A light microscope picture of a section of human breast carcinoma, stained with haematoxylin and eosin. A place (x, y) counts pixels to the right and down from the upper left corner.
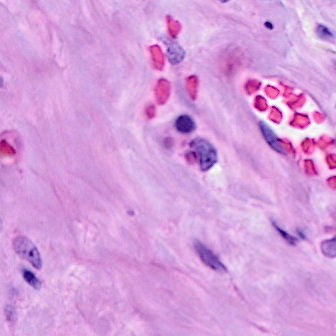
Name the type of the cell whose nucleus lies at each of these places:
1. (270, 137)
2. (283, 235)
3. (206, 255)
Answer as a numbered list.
1. endothelial cell
2. fibroblast
3. fibroblast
